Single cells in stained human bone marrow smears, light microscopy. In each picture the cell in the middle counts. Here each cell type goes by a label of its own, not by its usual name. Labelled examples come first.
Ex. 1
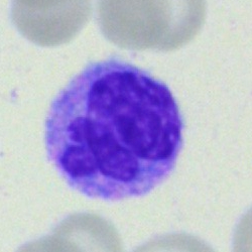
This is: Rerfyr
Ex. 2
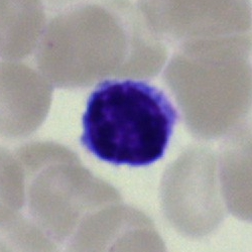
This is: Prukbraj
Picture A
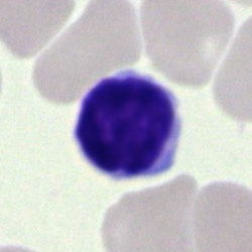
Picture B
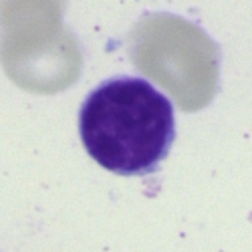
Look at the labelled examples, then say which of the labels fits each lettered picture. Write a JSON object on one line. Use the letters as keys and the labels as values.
{"A": "Prukbraj", "B": "Prukbraj"}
